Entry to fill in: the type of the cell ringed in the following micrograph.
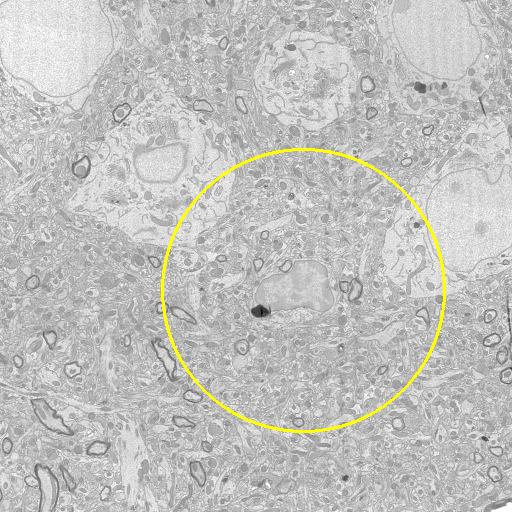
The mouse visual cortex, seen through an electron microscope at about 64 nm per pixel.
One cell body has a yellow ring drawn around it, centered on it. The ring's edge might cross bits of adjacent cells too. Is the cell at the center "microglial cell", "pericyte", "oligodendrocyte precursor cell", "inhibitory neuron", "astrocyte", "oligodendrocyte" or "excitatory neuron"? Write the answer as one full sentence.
This entry names a microglial cell as the cell whose body lies at the ring's center.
